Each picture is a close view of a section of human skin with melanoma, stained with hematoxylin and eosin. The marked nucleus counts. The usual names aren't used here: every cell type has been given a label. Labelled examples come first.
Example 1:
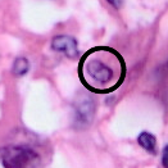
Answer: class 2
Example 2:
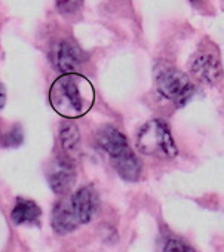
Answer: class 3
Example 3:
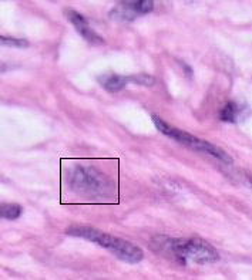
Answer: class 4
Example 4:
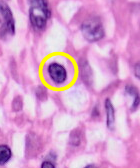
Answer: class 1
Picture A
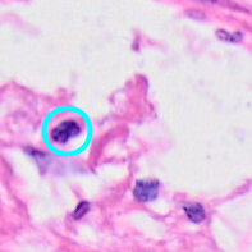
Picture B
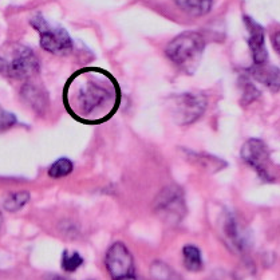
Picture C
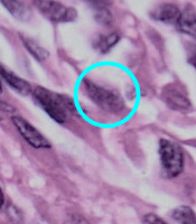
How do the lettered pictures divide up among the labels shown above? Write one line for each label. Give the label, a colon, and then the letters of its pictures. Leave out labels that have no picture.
class 3: B, C
class 1: A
